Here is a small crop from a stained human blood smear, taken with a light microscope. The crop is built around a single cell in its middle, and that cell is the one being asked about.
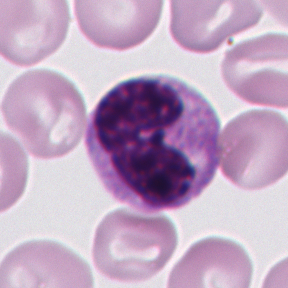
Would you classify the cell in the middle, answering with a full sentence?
Where the crop is centred, there is a band neutrophil.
